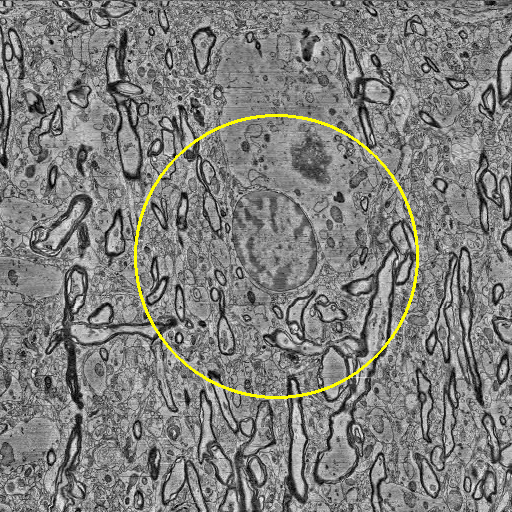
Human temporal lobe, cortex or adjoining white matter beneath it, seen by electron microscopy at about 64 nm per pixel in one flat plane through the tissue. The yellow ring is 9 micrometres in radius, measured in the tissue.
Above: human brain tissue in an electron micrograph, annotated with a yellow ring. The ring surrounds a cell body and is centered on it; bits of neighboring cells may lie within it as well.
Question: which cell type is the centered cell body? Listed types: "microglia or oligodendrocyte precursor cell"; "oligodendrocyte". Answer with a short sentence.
The centered cell body is a microglial cell or oligodendrocyte precursor cell.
